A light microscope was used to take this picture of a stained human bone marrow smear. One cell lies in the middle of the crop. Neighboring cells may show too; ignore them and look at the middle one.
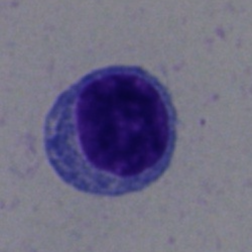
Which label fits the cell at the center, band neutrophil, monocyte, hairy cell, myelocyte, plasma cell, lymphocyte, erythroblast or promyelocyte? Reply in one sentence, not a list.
Classified as a lymphocyte is the cell in the middle of this crop.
